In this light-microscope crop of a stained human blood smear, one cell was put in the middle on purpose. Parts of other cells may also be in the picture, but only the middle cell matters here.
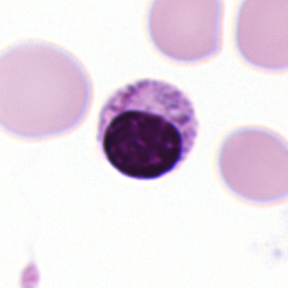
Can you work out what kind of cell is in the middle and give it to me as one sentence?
The cell featured at the centre of this crop is an erythroblast.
